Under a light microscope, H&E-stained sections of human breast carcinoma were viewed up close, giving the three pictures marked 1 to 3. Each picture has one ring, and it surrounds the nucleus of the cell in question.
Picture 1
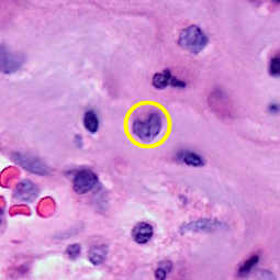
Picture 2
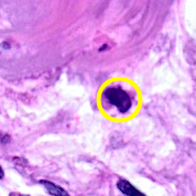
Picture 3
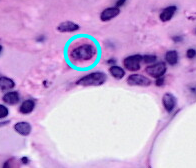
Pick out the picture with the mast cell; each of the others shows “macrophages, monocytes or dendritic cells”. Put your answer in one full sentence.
The cell in picture 3 is the mast cell.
